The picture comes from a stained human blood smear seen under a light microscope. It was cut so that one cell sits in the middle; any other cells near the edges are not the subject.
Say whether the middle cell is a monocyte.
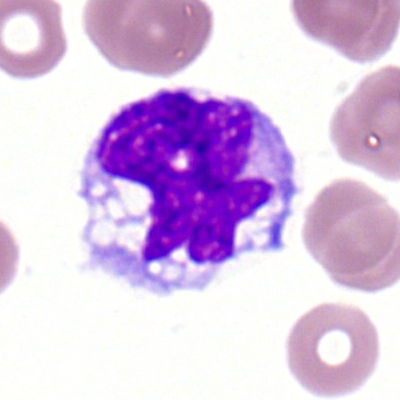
yes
